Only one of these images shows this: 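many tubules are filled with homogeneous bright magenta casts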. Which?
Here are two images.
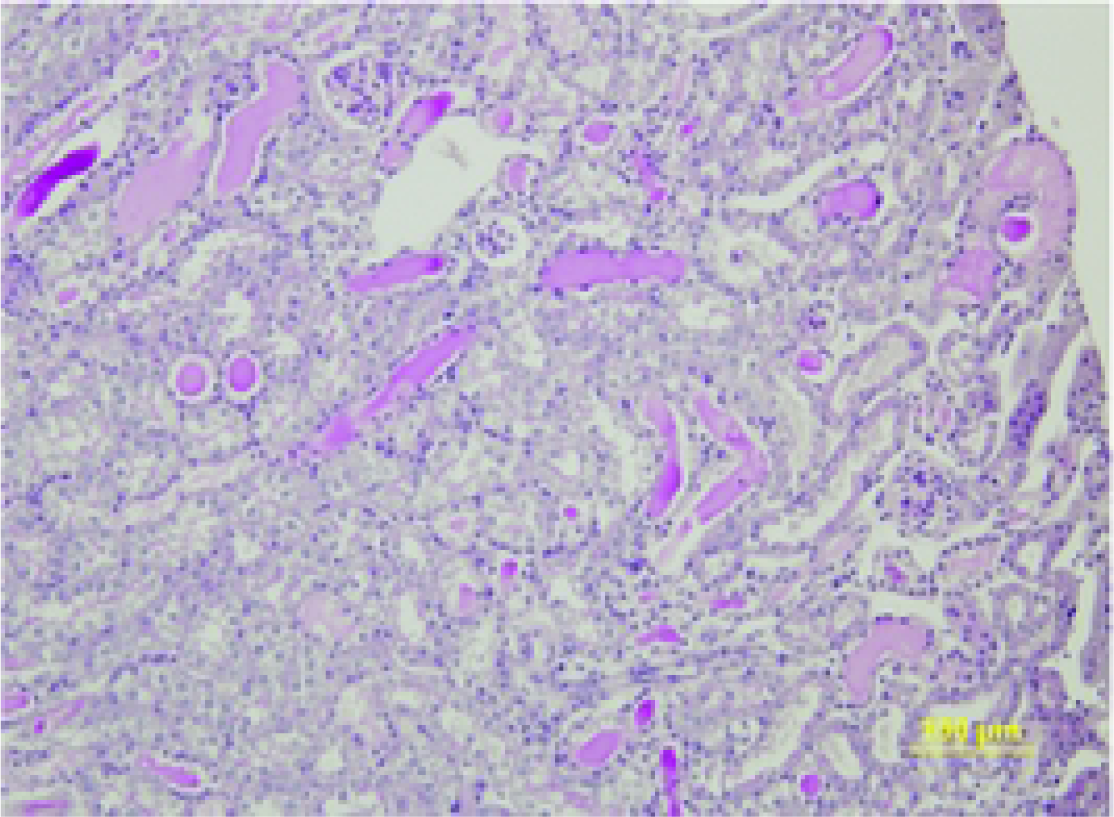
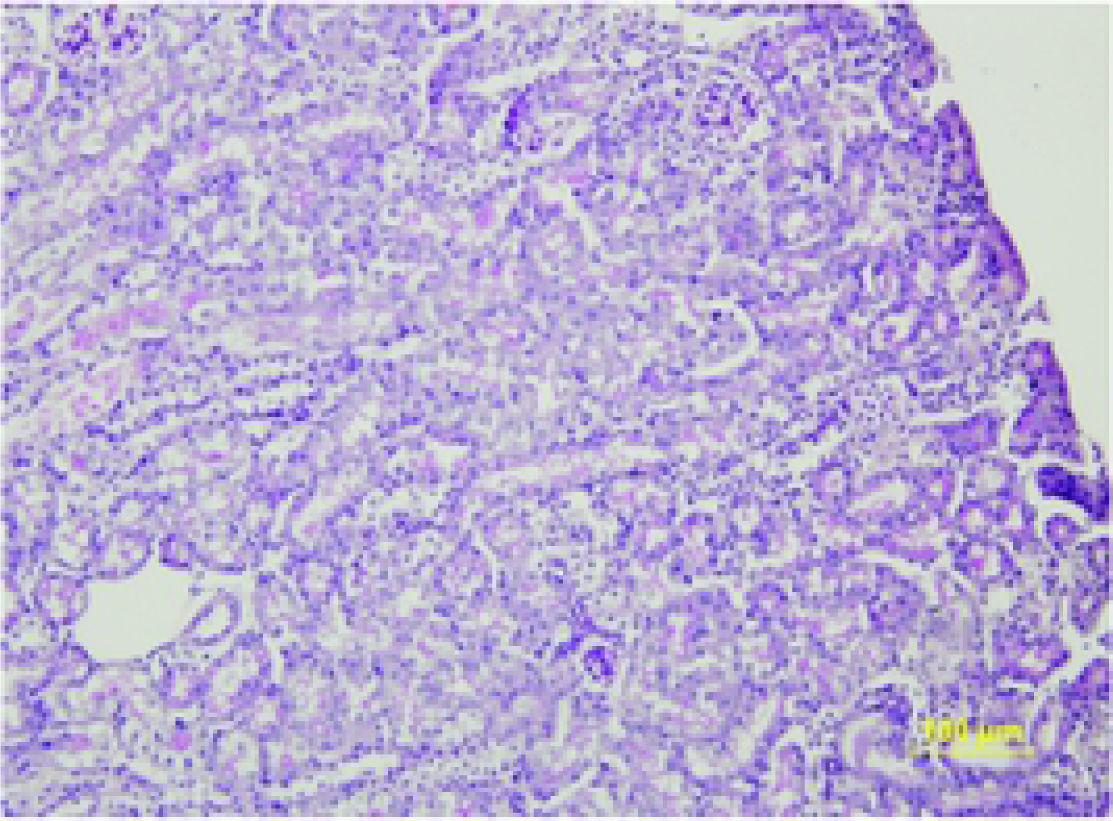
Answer: The first image.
